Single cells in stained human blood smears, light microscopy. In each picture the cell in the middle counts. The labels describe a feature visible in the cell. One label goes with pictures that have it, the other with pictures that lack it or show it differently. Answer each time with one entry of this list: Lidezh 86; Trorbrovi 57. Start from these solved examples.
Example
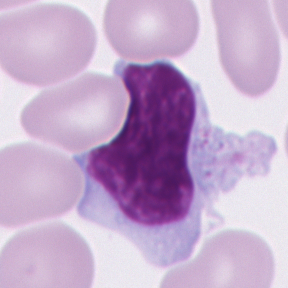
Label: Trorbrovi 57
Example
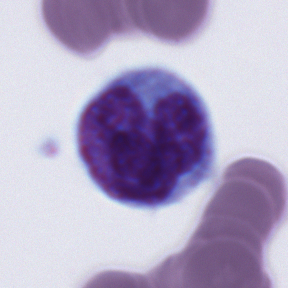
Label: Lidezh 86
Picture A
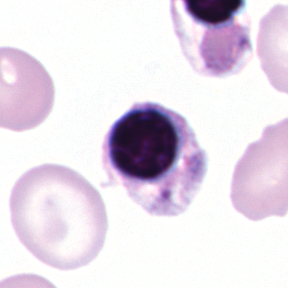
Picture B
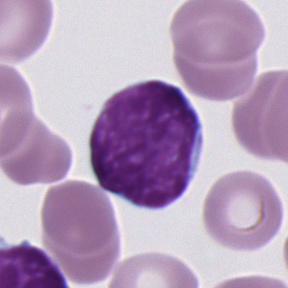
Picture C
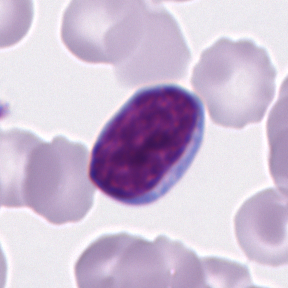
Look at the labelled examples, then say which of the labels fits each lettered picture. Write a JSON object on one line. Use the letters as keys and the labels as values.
{"A": "Trorbrovi 57", "B": "Lidezh 86", "C": "Lidezh 86"}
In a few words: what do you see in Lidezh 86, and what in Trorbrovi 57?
Seen in Lidezh 86: smooth outline; seen in Trorbrovi 57: ragged outline or projections.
